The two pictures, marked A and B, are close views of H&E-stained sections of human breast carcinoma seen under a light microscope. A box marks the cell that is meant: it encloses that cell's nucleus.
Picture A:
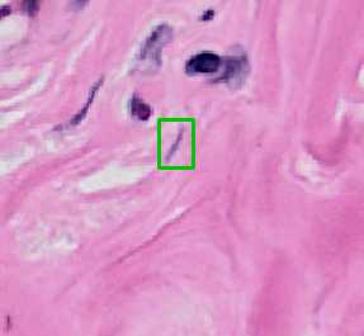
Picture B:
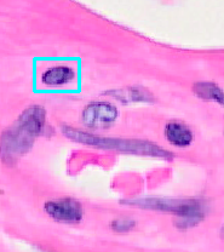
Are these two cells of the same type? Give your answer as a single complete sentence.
No. Picture A shows a fibroblast, but picture B shows a lymphocyte.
